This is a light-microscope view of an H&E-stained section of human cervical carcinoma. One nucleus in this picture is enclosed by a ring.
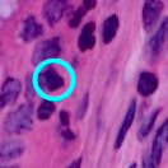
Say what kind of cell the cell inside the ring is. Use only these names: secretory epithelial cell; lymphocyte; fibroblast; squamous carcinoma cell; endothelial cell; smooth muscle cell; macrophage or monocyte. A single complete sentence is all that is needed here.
It is as a secretory epithelial cell that the cell inside the ring is recorded.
